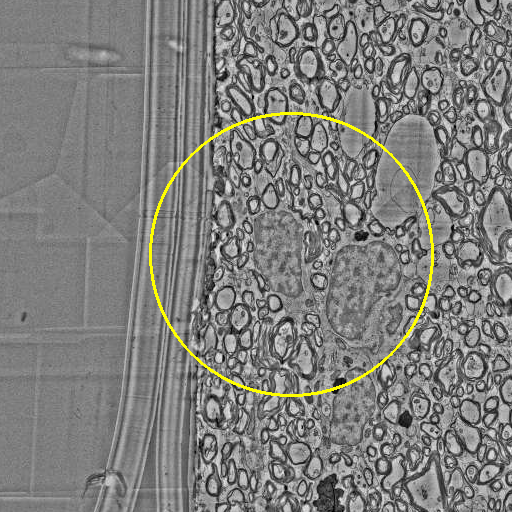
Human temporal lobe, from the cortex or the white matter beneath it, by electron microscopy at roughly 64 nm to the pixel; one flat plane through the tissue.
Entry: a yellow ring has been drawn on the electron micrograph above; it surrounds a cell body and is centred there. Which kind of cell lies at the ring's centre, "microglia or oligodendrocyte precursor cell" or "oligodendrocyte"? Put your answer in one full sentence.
The cell sitting at the ring's centre is an oligodendrocyte in the micrograph above.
